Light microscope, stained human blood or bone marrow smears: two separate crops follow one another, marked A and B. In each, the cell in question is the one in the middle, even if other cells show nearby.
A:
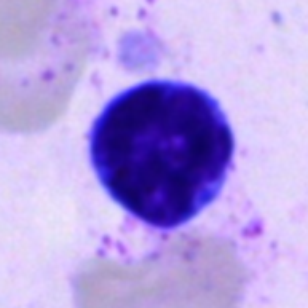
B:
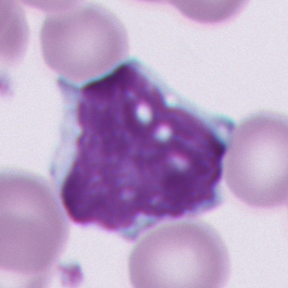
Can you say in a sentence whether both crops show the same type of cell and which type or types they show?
Yes, the cells at the centres of the two crops are lymphocytes.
